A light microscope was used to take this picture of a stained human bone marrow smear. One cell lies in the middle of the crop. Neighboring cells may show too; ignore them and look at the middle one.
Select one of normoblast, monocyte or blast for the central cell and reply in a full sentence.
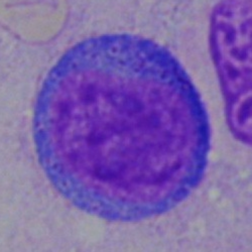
As for the central cell, it is a blast.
